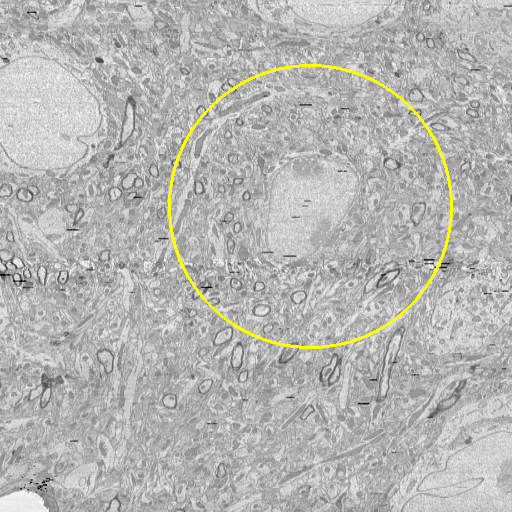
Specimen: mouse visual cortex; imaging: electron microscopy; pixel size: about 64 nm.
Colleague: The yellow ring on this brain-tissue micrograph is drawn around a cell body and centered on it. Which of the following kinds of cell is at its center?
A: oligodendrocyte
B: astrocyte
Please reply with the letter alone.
B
